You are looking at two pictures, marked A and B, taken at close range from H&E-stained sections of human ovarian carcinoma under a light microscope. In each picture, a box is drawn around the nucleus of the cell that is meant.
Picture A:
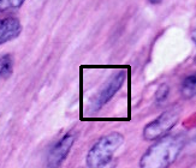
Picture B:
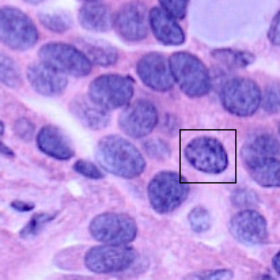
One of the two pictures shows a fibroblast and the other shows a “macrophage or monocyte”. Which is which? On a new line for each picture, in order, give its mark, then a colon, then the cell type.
A: fibroblast
B: macrophage or monocyte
